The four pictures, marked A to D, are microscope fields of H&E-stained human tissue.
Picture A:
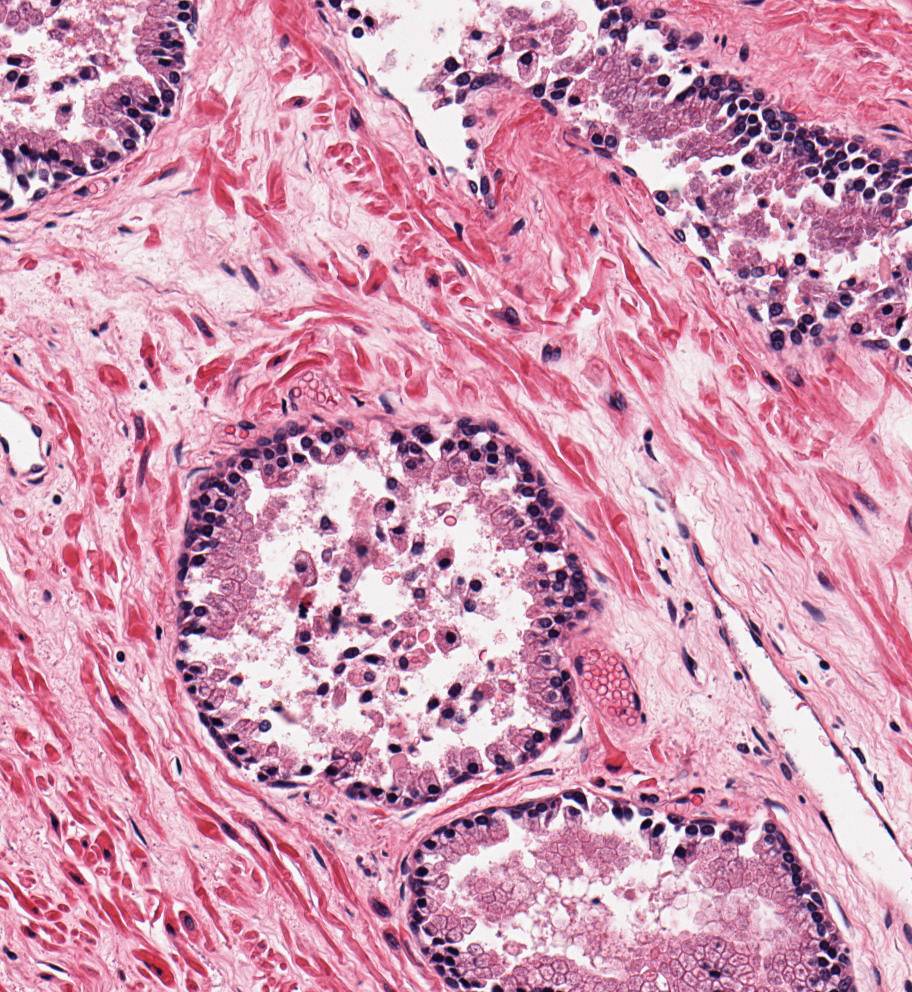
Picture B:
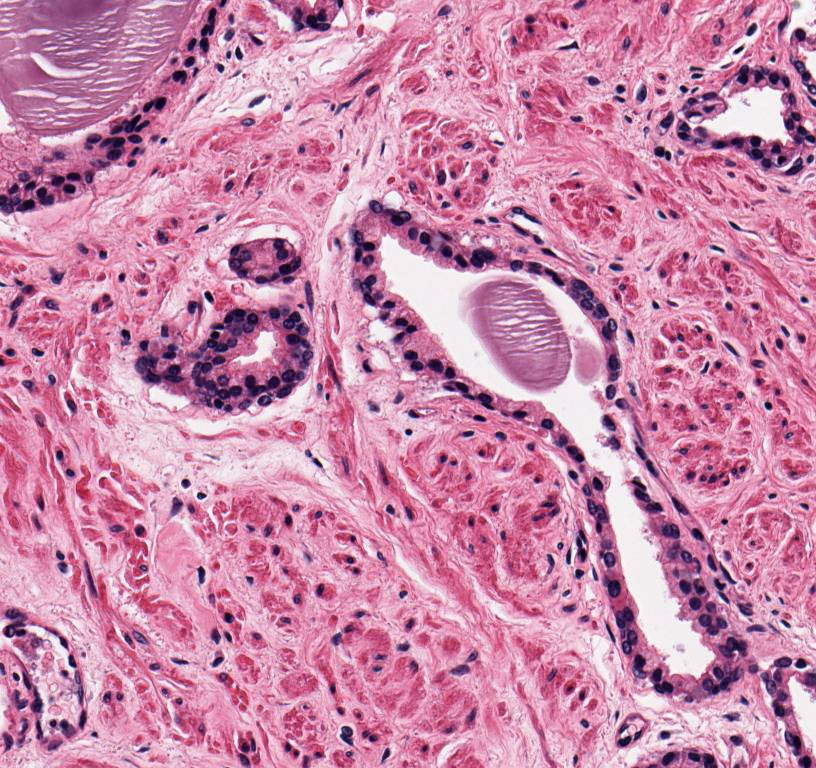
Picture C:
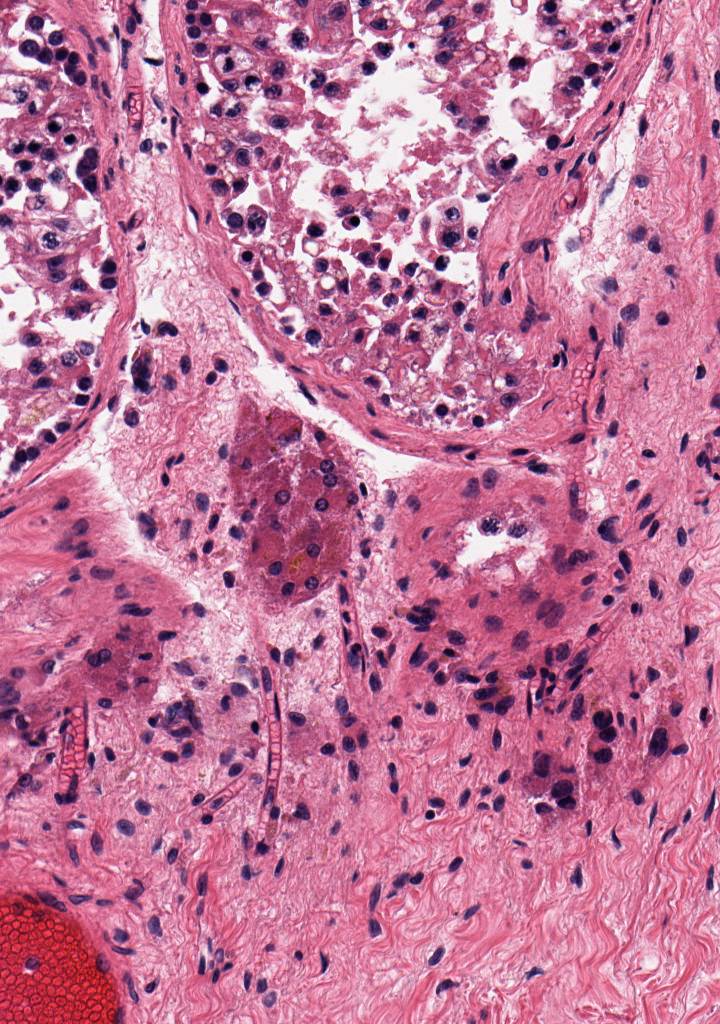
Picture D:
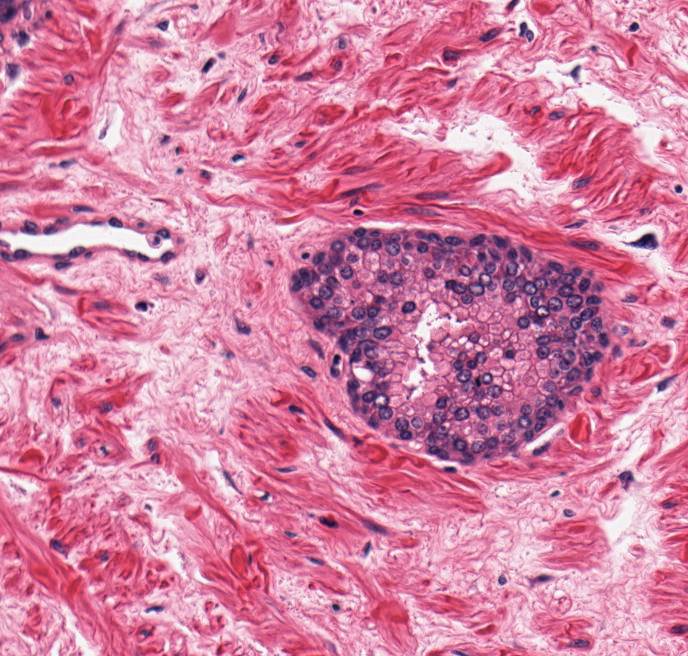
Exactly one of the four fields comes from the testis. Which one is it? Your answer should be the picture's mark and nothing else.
C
